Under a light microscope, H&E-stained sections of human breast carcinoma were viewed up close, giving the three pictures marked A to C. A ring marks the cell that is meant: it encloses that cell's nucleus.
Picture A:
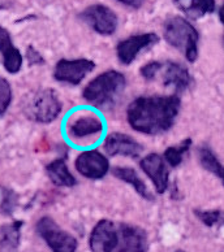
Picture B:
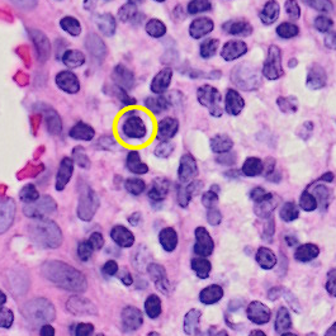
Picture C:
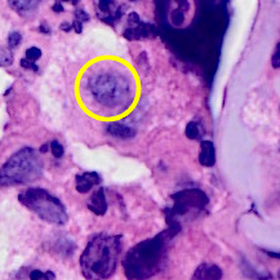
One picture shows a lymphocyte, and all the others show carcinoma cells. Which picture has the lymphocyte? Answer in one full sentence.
It is picture B that shows the lymphocyte.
